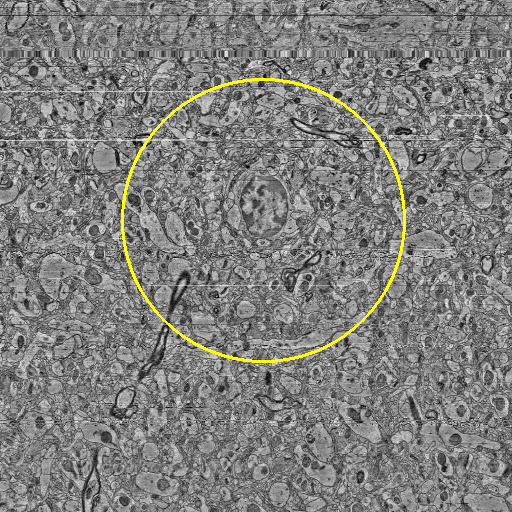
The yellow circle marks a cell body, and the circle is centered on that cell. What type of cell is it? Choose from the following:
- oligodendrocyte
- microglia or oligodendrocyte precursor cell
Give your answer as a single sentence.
This cell body belongs to a microglial cell or oligodendrocyte precursor cell.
